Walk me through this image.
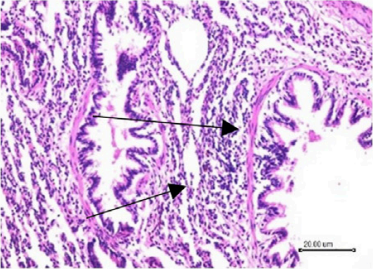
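Lung tissue with airways lined by columnar epithelium, surrounded by densely cellular parenchyma. The alveolar walls are thickened and many air spaces are collapsed, with crowds of small dark inflammatory cell nuclei filling the interstitium.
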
